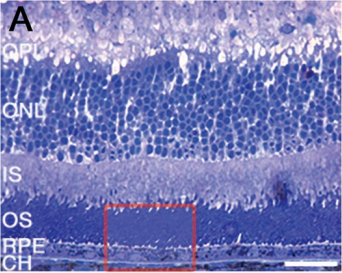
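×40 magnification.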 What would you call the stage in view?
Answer: Normal retinal architecture.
